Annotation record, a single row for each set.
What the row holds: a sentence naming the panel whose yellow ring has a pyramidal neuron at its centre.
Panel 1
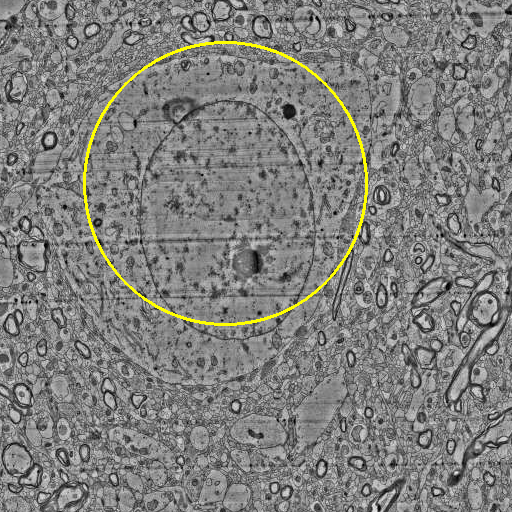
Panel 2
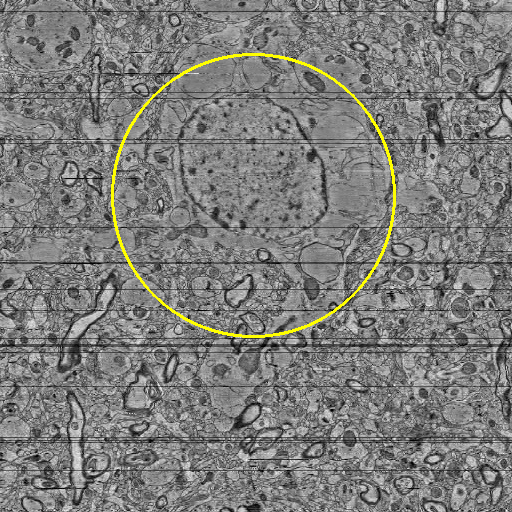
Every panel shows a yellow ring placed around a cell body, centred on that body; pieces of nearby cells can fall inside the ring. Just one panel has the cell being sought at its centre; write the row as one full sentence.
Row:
In panel 1, the cell at the middle of the yellow ring is the one sought.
